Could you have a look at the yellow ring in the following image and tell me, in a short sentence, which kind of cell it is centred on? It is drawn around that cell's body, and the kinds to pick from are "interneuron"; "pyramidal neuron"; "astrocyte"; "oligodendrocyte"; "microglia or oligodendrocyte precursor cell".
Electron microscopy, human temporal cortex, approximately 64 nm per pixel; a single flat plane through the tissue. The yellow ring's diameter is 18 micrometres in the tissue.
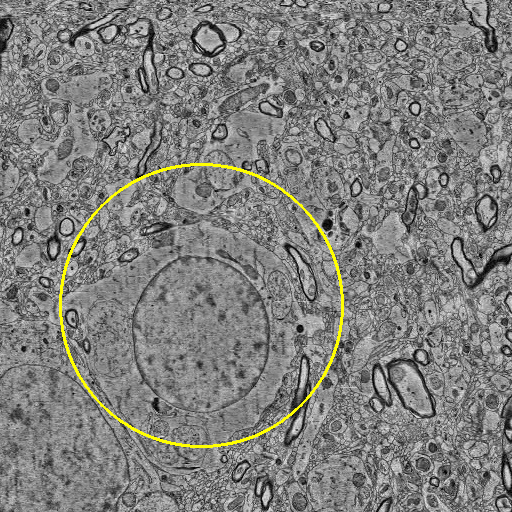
The ring is centred on the body of an astrocyte.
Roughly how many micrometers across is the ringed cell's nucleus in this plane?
In this plane, the nucleus of the cell at the centre of the ring measures about 10 by 9 micrometres.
